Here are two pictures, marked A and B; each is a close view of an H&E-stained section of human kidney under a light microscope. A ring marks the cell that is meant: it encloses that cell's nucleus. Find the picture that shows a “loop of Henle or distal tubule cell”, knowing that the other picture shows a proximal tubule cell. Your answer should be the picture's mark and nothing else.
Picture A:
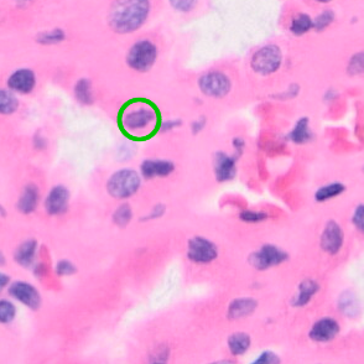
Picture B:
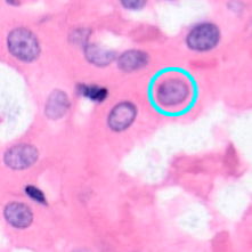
A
